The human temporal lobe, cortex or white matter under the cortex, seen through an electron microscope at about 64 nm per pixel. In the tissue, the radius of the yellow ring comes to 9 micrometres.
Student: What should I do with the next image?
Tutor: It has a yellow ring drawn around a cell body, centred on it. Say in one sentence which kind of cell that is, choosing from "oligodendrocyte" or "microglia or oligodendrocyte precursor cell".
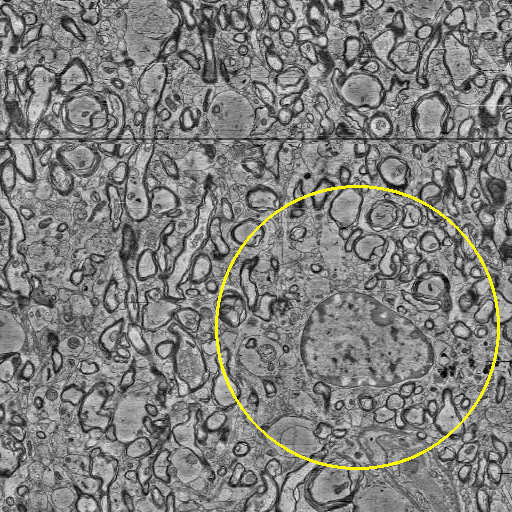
The ring's centre is occupied by a microglial cell or oligodendrocyte precursor cell.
